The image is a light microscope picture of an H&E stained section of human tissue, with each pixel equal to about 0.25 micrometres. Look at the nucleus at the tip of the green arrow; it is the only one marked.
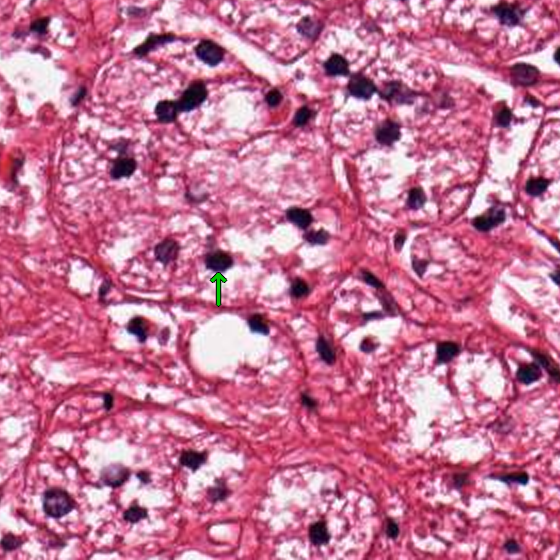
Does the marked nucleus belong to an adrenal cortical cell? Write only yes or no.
yes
